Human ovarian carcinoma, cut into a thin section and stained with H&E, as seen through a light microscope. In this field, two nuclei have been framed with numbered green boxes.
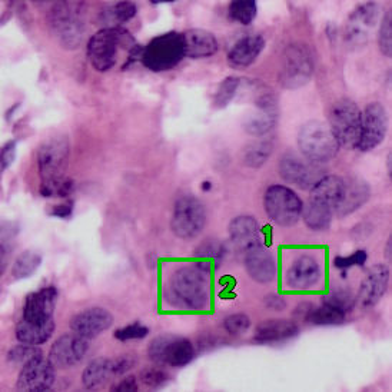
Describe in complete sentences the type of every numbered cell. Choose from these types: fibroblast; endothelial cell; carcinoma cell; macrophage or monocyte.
Cell 1 is a macrophage or monocyte and cell 2 is a carcinoma cell.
